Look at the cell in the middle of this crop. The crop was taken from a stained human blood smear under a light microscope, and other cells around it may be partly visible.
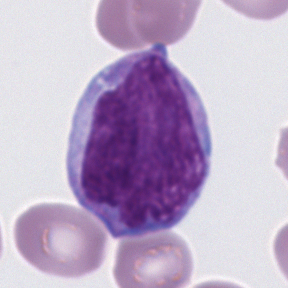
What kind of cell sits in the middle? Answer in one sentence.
The cell at the centre of the field is an atypical promyelocyte.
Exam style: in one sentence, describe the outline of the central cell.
Because its outline is ragged or drawn out into projections, the cell lacks a smooth border.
